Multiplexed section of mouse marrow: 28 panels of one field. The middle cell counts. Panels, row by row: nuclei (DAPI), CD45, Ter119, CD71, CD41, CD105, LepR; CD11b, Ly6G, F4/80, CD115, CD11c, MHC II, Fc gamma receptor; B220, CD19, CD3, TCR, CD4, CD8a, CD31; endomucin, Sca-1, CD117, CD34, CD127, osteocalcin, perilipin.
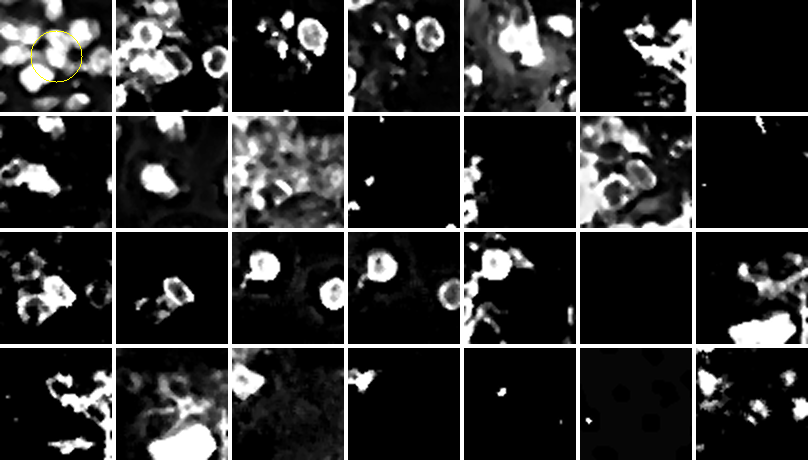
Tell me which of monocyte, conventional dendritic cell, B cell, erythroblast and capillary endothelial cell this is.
The picture shows a B cell.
